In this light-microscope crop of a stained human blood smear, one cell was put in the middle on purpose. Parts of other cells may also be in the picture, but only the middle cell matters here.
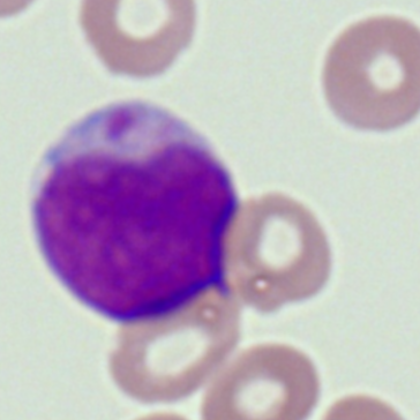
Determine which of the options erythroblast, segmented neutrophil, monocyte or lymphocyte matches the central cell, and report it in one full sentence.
At the middle of the frame sits a lymphocyte.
